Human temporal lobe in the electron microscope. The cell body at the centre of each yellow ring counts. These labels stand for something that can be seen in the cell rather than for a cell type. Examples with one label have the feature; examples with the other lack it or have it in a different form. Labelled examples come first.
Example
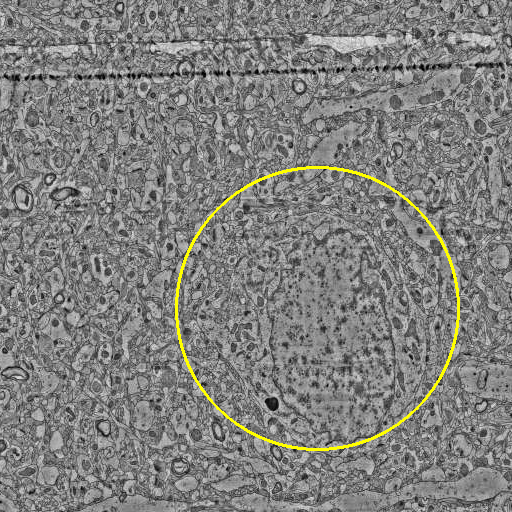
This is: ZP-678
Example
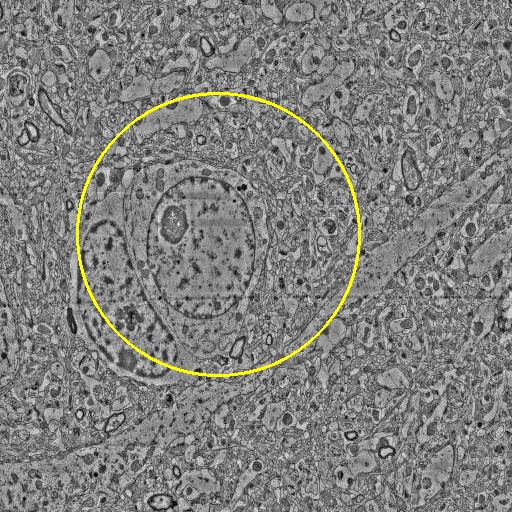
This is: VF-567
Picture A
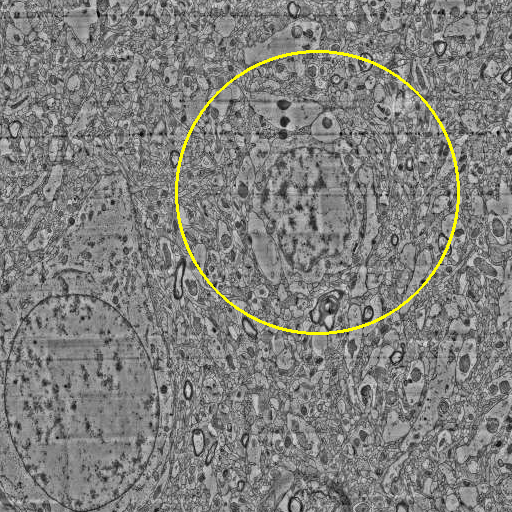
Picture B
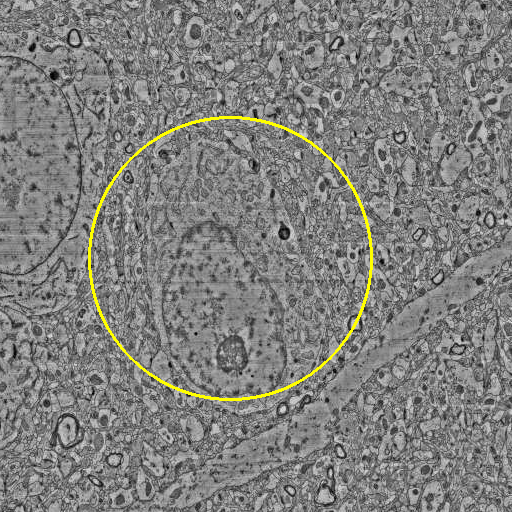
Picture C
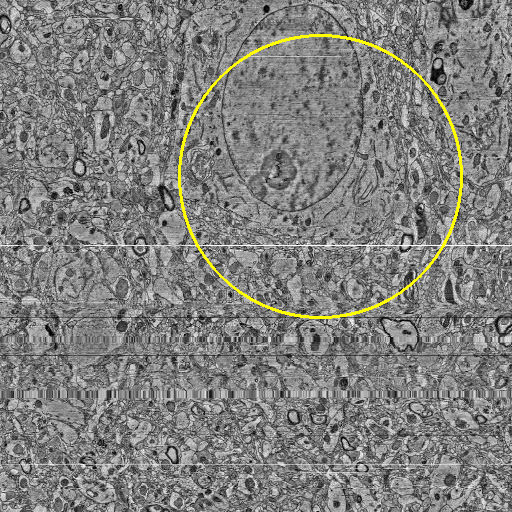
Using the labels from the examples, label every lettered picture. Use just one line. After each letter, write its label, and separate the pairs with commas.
A ZP-678, B VF-567, C VF-567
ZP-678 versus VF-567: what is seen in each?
ZP-678, no nucleolus seen; VF-567, nucleolus seen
